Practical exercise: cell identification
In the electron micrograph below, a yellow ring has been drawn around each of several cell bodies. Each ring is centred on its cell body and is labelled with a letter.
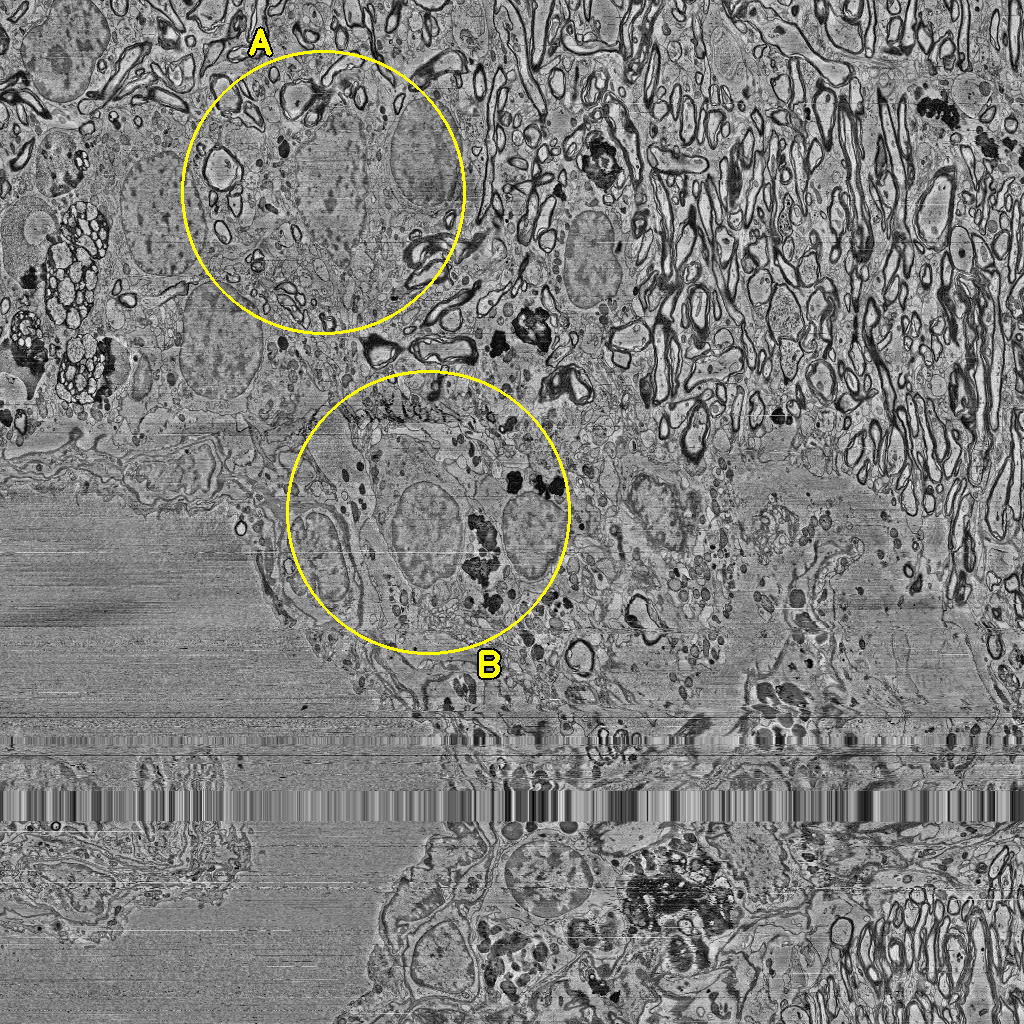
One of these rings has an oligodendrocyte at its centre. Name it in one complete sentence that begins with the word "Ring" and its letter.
Ring B has that cell at its centre.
